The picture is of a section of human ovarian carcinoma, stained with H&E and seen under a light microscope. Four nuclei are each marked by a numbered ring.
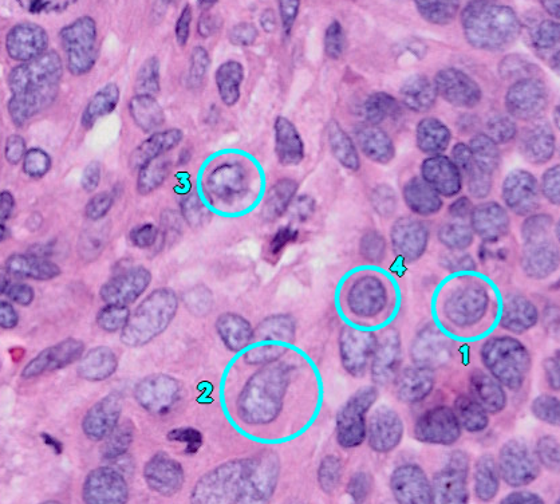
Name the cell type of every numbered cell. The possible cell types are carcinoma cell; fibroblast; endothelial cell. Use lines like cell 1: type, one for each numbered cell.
cell 1: carcinoma cell
cell 2: fibroblast
cell 3: fibroblast
cell 4: carcinoma cell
